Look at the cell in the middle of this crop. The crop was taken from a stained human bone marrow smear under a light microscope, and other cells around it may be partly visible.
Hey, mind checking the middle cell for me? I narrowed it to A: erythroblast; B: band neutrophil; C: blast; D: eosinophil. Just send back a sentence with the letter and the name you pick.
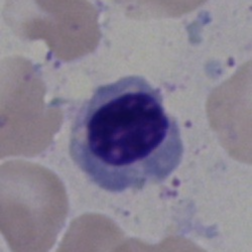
That the central cell is an erythroblast makes option A correct.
